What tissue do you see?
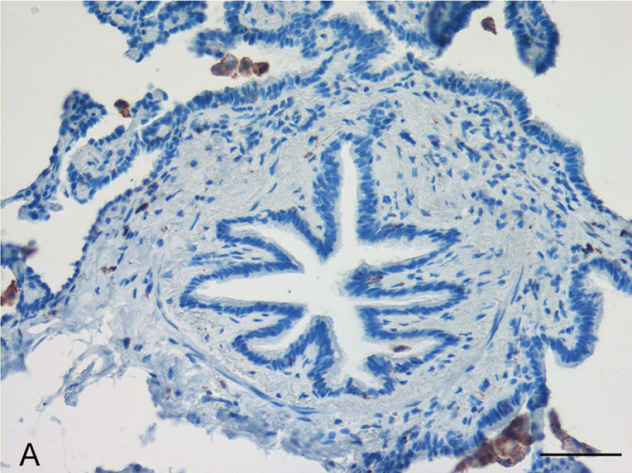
small airways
